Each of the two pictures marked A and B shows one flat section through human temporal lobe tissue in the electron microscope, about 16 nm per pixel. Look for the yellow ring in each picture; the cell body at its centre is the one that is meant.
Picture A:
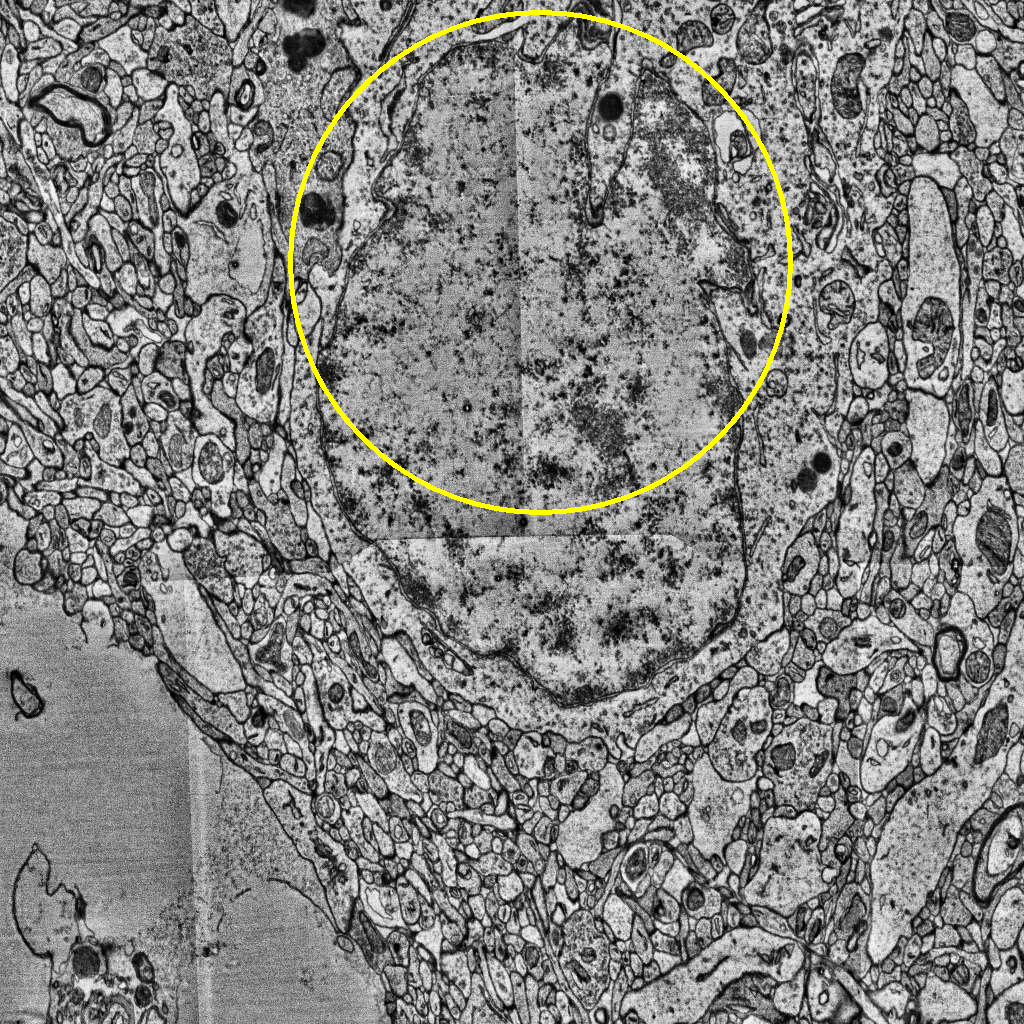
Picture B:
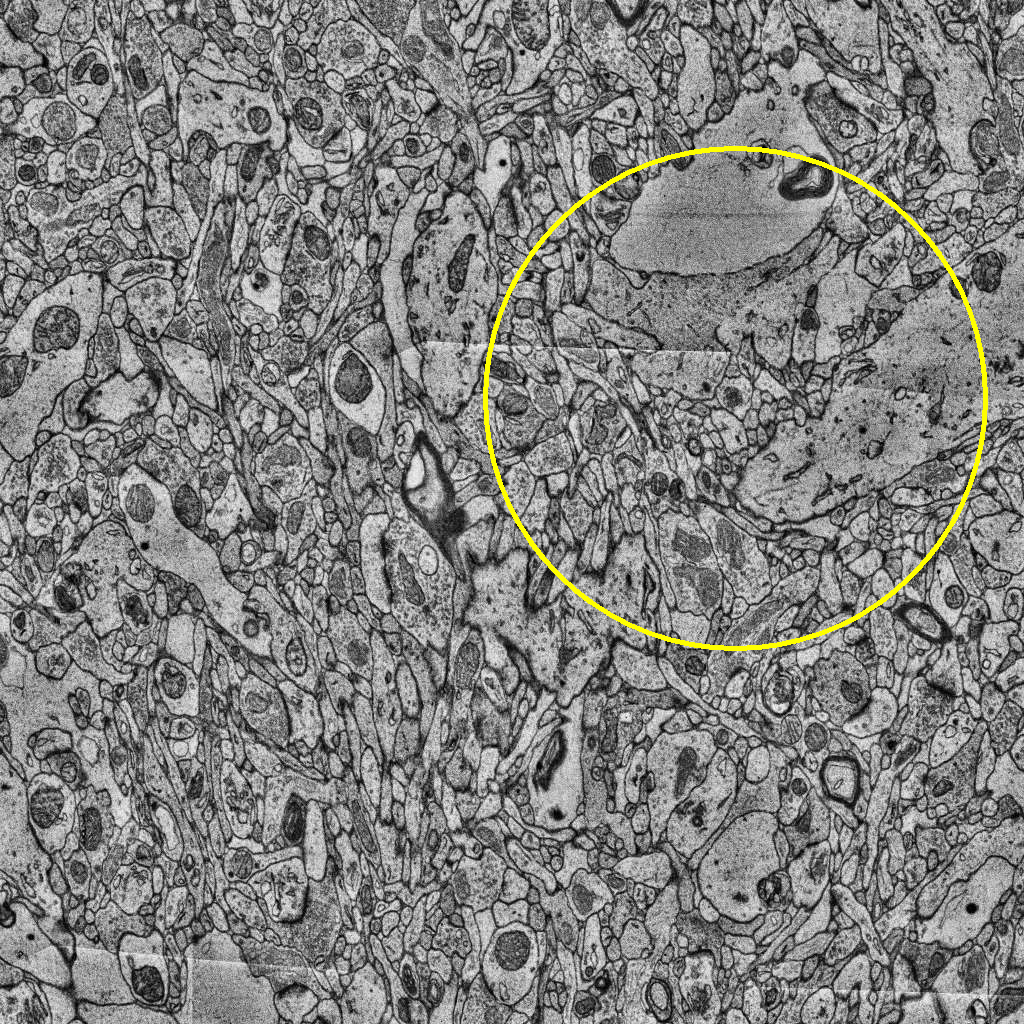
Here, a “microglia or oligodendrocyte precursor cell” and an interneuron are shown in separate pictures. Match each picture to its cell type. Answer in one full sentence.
Picture B shows a “microglia or oligodendrocyte precursor cell”, while picture A shows an interneuron.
